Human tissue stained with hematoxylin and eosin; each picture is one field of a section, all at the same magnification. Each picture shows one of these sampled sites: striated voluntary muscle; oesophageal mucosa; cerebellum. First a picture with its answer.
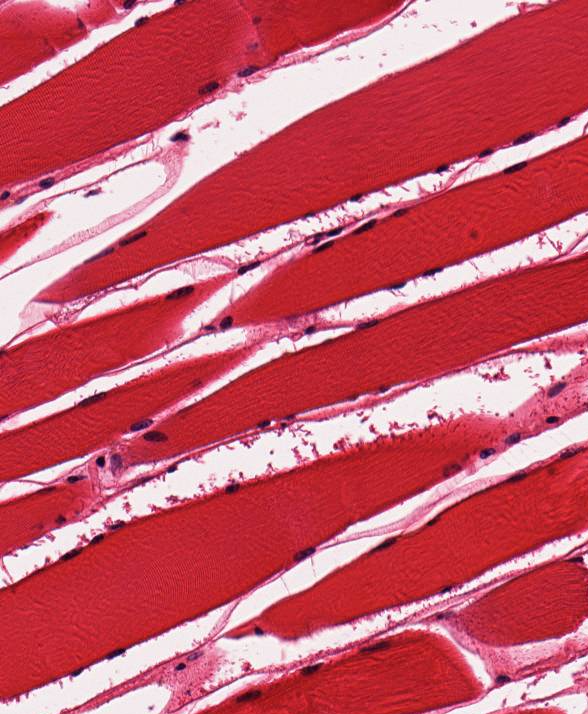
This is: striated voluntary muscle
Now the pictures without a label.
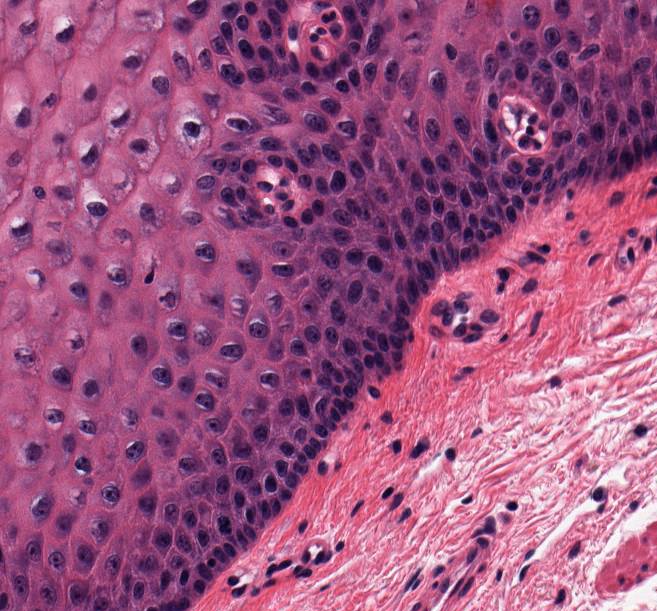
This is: oesophageal mucosa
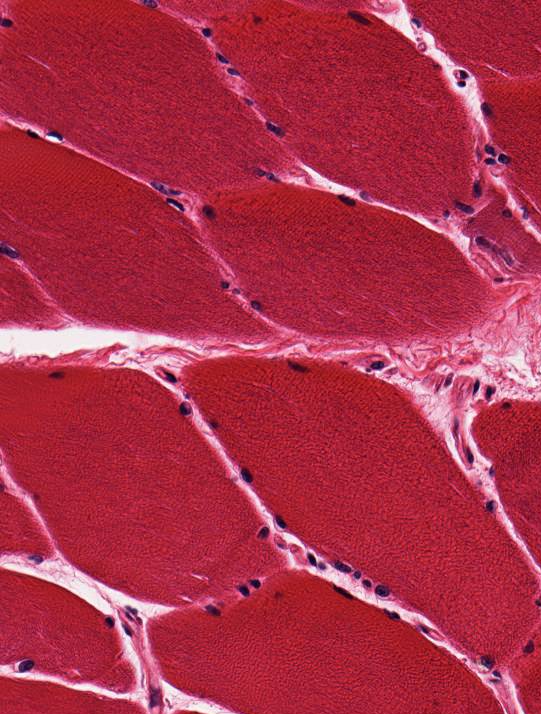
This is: striated voluntary muscle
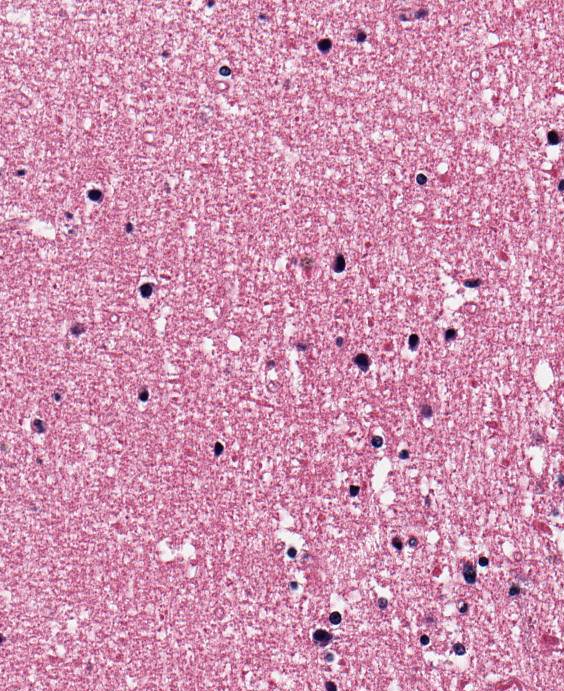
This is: cerebellum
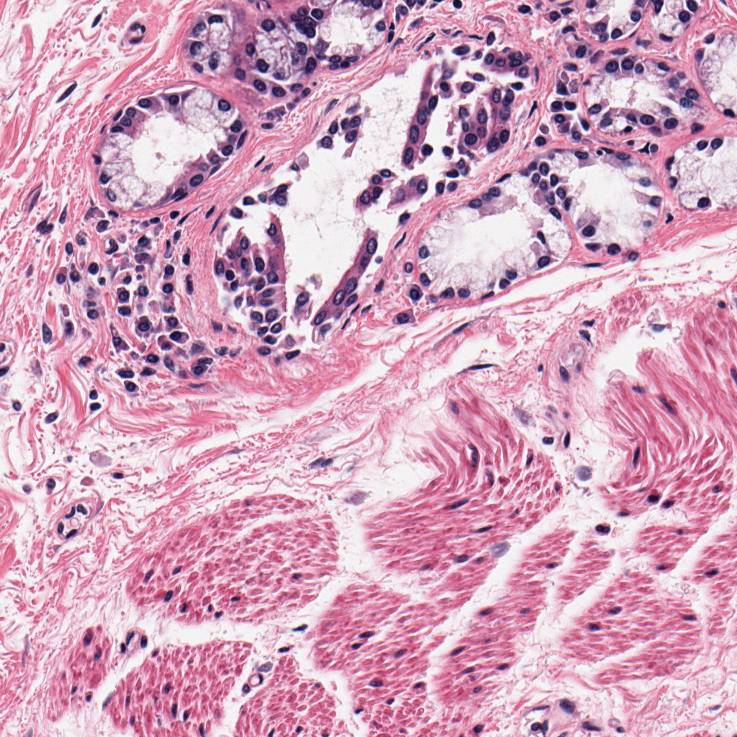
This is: oesophageal mucosa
